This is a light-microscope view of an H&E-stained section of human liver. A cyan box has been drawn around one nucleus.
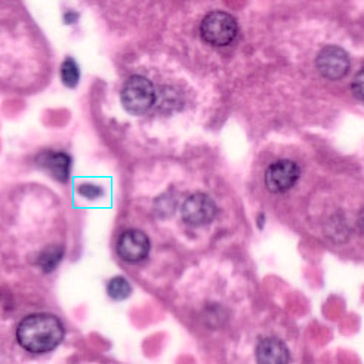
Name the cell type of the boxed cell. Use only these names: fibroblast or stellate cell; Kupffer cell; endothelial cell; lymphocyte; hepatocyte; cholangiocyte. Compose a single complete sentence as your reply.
The identity of the boxed cell: it is a lymphocyte.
